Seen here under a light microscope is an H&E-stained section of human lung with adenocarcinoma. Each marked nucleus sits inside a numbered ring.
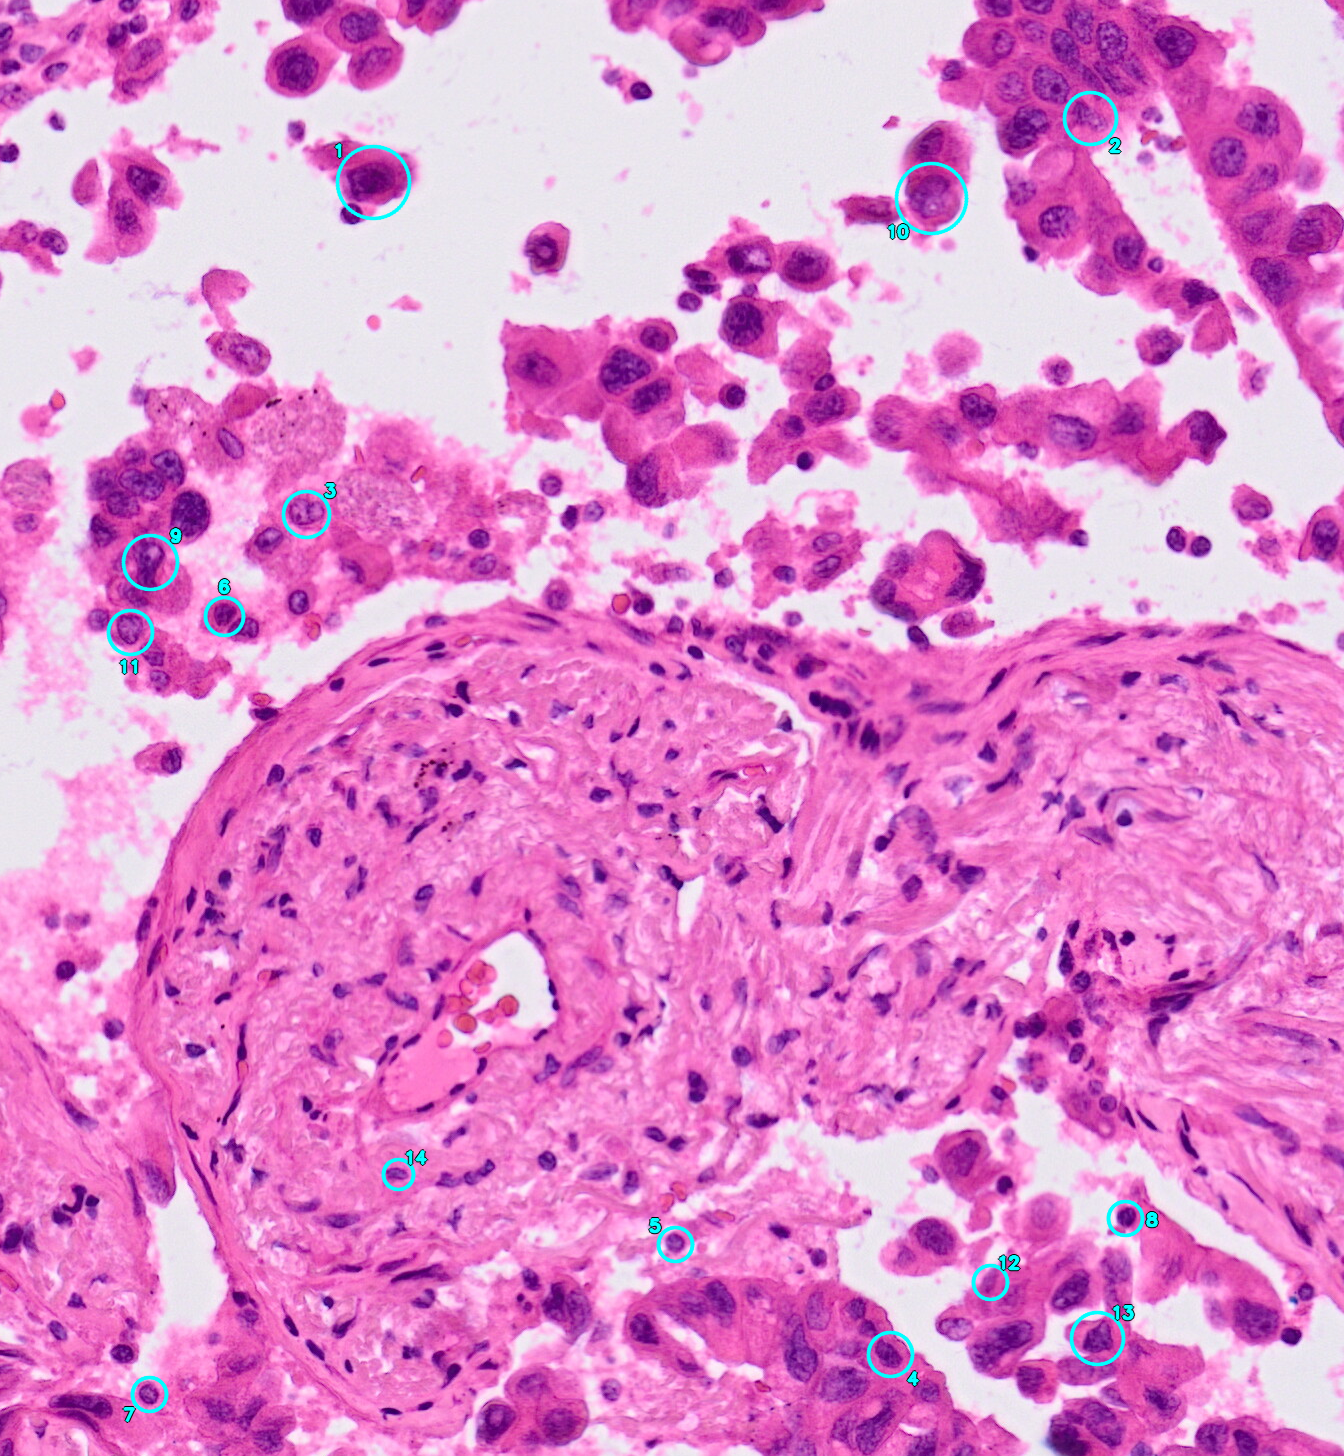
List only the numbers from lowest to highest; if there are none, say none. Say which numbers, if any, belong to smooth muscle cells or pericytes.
14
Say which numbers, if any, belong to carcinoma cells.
1, 2, 4, 9, 10, 12, 13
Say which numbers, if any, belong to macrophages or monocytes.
3, 6, 11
